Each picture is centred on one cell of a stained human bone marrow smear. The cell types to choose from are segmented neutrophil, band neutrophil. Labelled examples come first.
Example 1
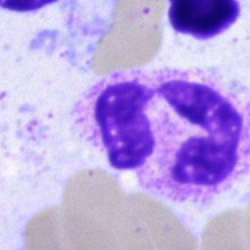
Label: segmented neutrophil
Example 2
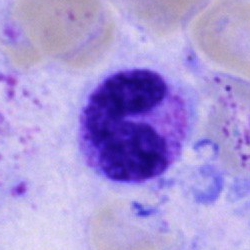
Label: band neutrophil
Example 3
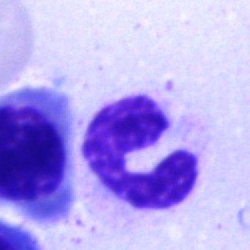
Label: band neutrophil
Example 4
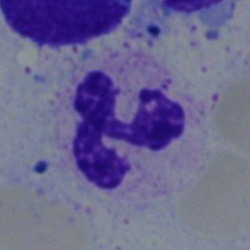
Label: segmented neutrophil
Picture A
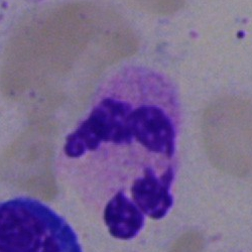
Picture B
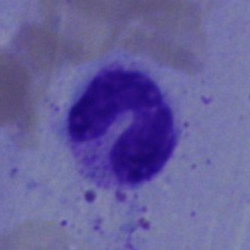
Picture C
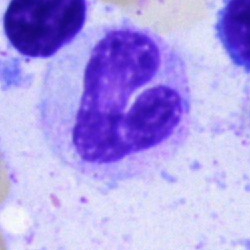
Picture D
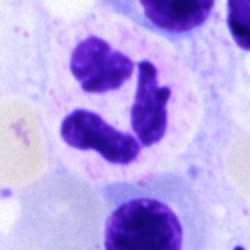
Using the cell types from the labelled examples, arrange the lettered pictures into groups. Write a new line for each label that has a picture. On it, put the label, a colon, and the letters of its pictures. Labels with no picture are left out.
segmented neutrophil: A, D
band neutrophil: B, C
